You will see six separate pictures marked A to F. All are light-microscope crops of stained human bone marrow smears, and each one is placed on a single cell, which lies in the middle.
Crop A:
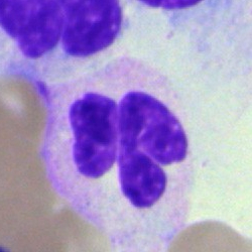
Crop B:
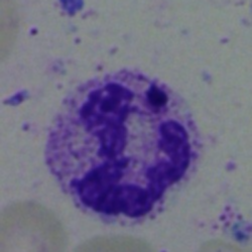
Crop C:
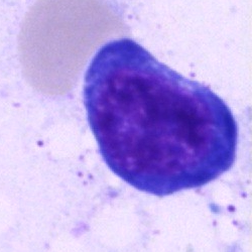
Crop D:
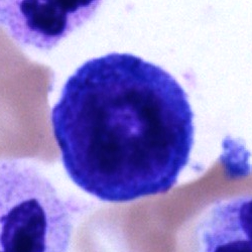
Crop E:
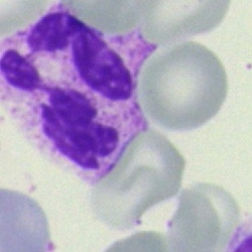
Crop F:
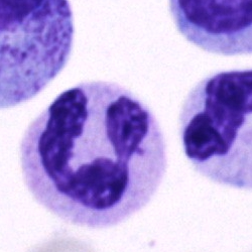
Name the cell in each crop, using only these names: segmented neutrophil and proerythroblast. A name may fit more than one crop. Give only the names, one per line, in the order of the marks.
segmented neutrophil
segmented neutrophil
proerythroblast
proerythroblast
segmented neutrophil
segmented neutrophil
